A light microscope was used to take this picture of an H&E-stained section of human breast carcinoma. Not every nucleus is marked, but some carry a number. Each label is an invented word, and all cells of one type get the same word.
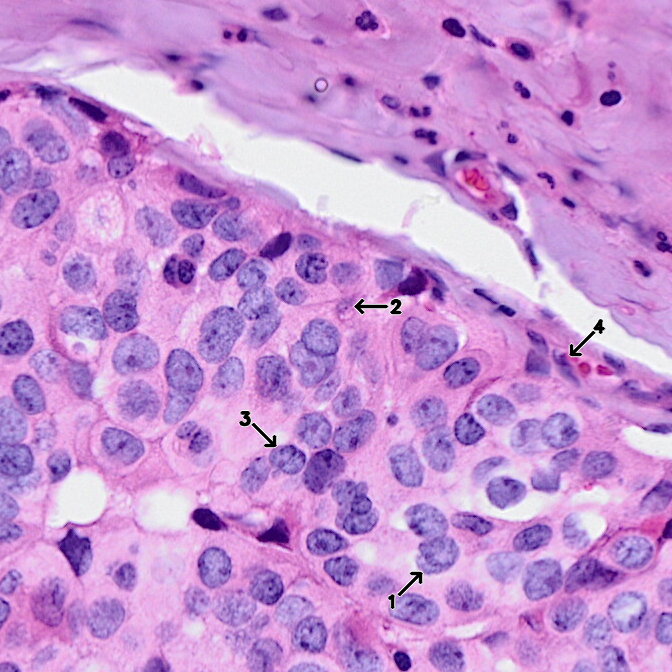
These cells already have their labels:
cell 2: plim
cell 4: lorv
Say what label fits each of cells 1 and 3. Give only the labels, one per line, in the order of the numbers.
plim
plim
